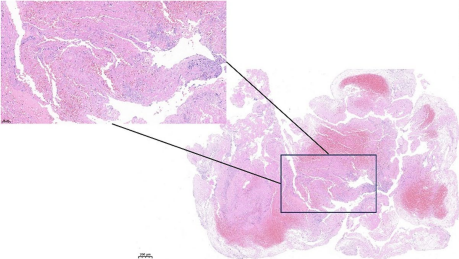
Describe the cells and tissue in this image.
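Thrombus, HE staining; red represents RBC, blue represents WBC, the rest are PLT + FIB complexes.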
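The material forms wavy, layered bands separated by irregular clefts. Small dark blue nuclei are scattered through it, and in one place they gather in a dense cluster at the edge of a cleft. Patches of deeper red lie mainly toward the edges of the section.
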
